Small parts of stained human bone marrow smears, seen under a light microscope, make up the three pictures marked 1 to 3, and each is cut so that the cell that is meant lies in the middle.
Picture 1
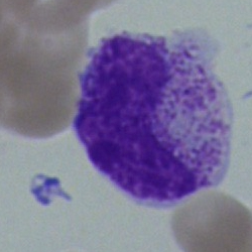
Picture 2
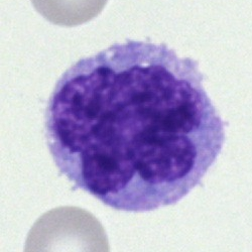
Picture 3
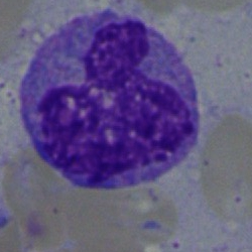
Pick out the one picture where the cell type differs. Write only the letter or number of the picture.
1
